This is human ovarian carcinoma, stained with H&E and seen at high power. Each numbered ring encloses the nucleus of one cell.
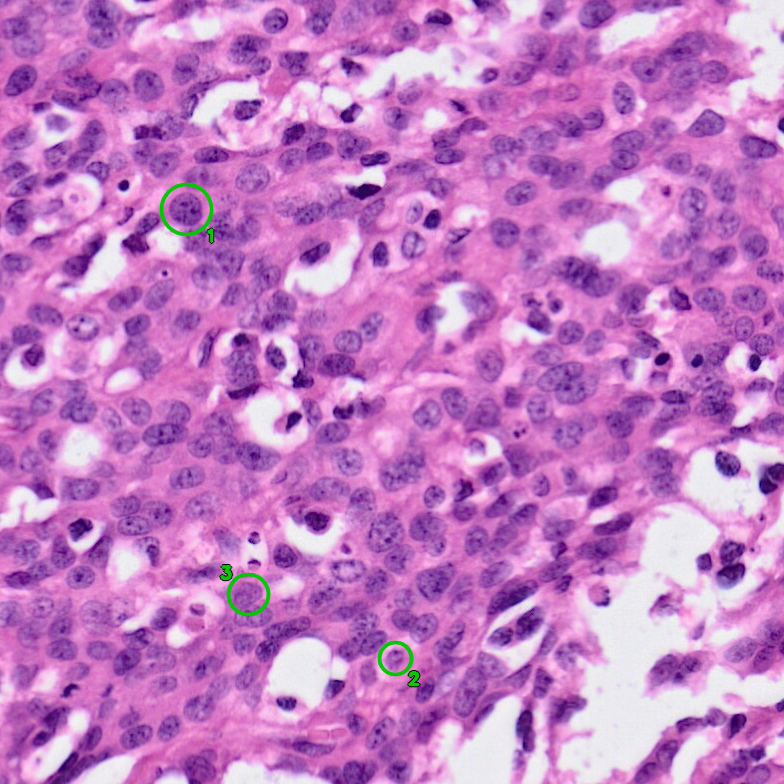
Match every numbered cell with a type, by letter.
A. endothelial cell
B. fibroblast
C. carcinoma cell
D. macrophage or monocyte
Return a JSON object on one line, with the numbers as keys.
{"1": "C", "2": "D", "3": "C"}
